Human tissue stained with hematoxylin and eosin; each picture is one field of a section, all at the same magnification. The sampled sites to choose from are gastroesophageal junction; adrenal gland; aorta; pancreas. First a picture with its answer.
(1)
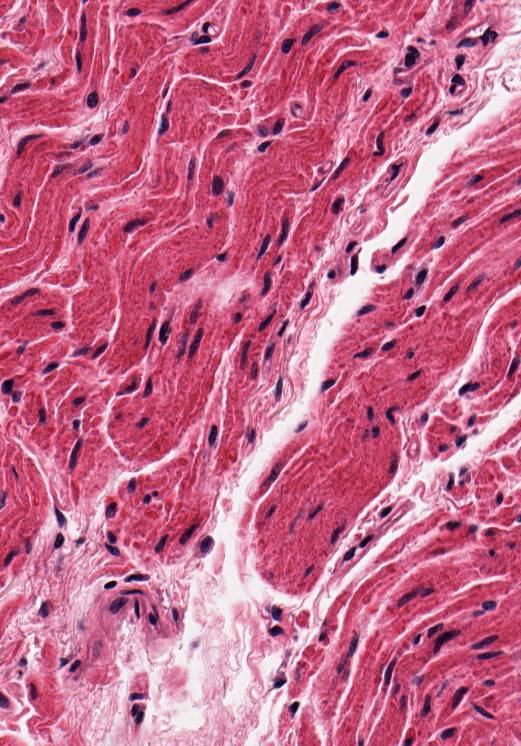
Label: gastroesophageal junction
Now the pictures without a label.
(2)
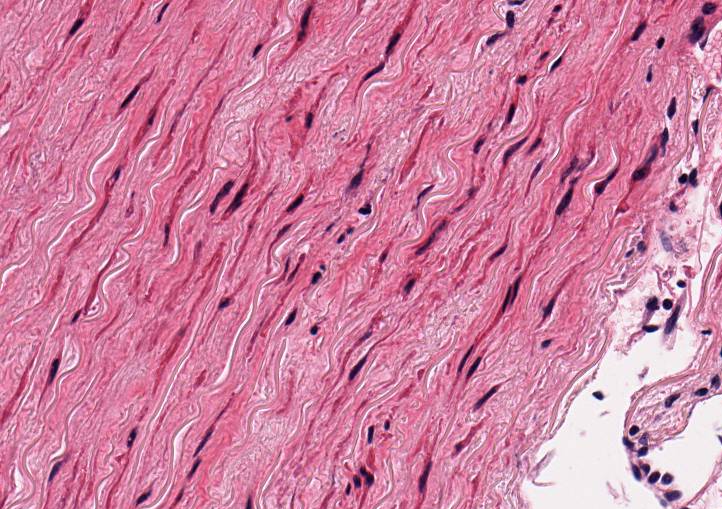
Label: aorta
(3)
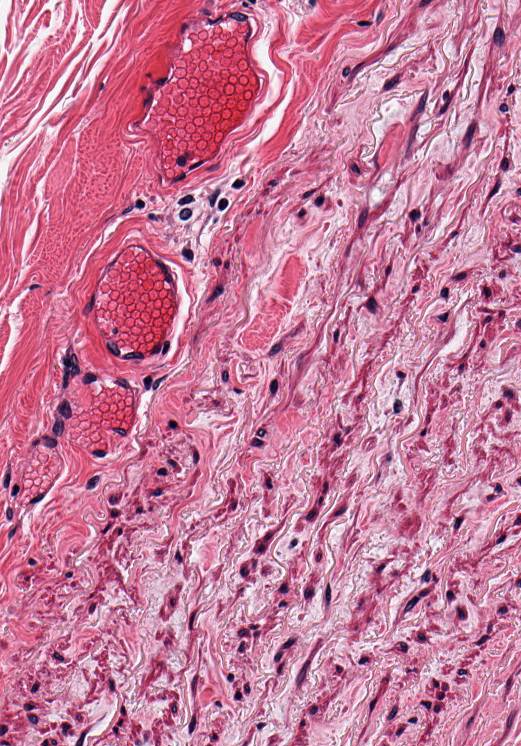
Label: aorta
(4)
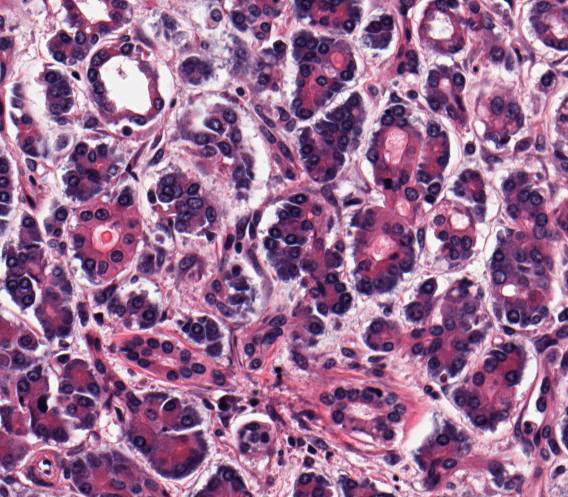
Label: pancreas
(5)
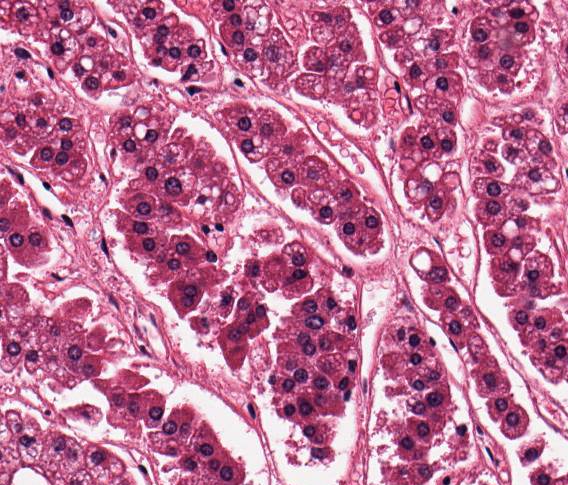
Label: adrenal gland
